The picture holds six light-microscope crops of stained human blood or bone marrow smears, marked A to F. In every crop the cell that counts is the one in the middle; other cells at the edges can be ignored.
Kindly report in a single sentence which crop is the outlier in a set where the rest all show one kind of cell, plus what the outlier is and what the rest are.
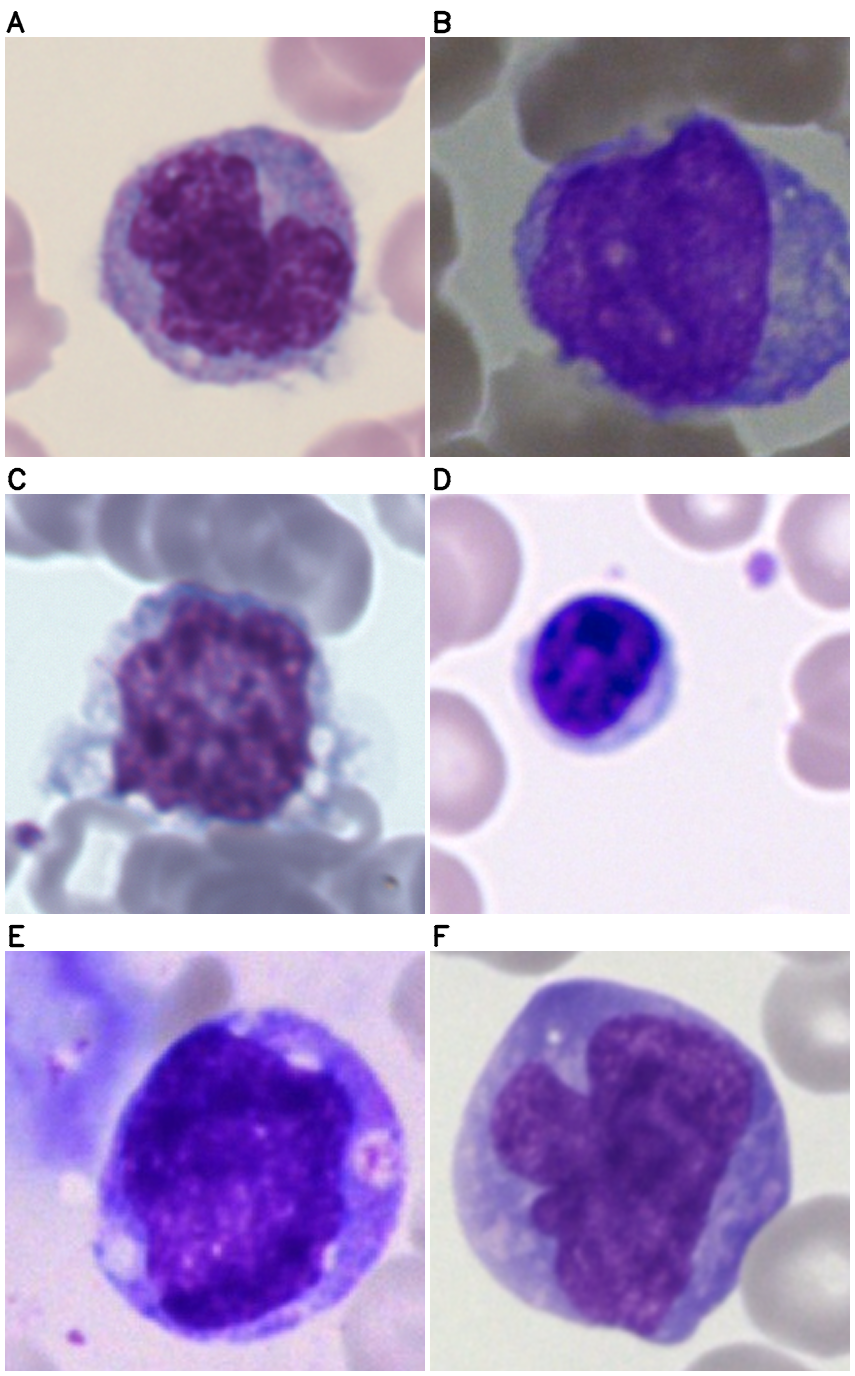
The single exception among the crops is crop D, which is a lymphocyte; the rest show monocytes.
